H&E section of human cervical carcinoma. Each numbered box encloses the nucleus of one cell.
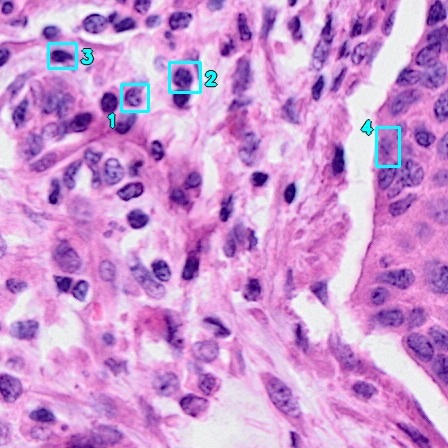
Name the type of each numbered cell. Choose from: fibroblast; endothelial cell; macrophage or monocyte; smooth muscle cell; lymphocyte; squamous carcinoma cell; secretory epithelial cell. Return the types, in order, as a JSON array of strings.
["lymphocyte", "lymphocyte", "lymphocyte", "squamous carcinoma cell"]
